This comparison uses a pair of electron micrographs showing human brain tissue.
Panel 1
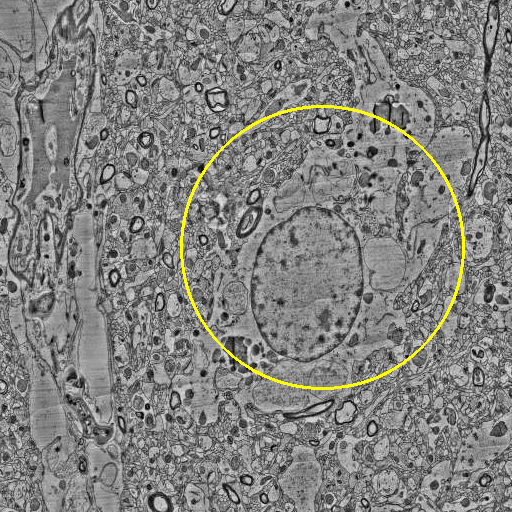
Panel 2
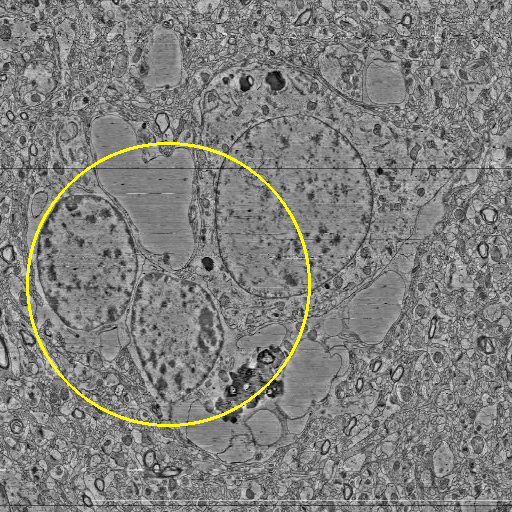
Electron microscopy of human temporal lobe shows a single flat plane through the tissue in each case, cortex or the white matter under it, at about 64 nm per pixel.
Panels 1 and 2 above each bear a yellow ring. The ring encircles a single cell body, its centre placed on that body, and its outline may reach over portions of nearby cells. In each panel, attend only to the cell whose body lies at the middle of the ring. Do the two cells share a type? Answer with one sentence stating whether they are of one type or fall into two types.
In Panel 1 and Panel 2, the cells at the centres of the rings are of one type.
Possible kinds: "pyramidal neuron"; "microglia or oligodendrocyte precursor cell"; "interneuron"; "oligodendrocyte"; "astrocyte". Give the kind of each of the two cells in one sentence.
In each picture the ringed cell is an astrocyte.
